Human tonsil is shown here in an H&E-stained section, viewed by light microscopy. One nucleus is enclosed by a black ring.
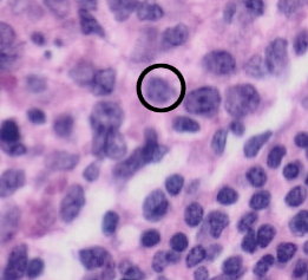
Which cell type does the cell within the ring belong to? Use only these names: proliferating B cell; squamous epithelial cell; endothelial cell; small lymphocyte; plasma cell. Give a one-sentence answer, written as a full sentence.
Right, so the cell within the ring is a proliferating B cell, to answer that.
